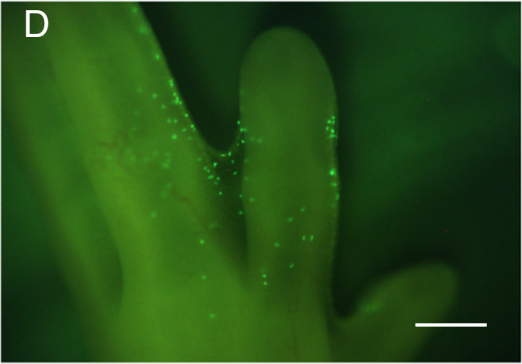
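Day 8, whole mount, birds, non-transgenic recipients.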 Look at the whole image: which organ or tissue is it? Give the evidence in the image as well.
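Foot. Elongated digit-like projections with rounded tips separated by clefts. Small green dots are concentrated along the clefts between digits.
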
